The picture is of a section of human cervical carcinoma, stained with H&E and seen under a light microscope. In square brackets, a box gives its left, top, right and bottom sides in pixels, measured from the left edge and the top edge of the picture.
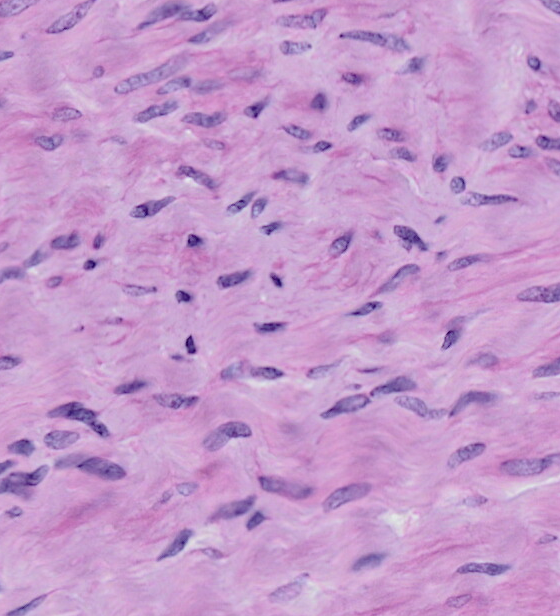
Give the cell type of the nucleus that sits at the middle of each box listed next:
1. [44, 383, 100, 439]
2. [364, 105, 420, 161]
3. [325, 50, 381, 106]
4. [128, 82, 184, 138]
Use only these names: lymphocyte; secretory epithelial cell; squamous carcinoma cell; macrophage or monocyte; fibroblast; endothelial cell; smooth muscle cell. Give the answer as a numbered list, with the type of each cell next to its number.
1. fibroblast
2. smooth muscle cell
3. smooth muscle cell
4. smooth muscle cell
